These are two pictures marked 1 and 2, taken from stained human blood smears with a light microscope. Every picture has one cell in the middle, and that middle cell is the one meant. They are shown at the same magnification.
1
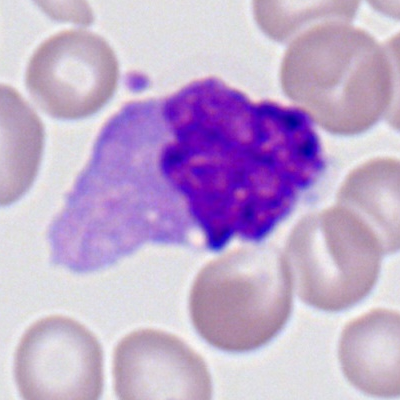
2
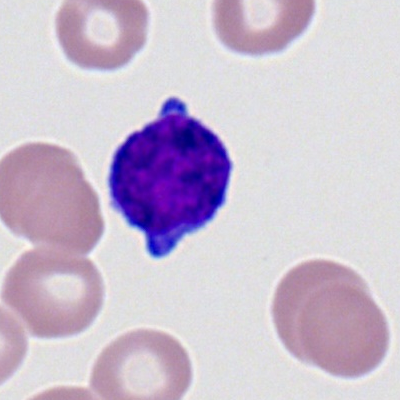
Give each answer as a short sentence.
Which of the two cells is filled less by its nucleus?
The nucleus fills less of the cell in crop 1 than in crop 2.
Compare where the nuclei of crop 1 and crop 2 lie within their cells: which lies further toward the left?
Seen within its cell, the nucleus in crop 2 lies further toward the left.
